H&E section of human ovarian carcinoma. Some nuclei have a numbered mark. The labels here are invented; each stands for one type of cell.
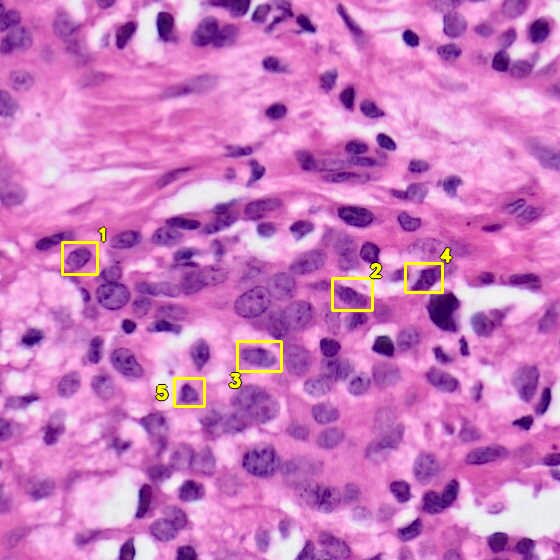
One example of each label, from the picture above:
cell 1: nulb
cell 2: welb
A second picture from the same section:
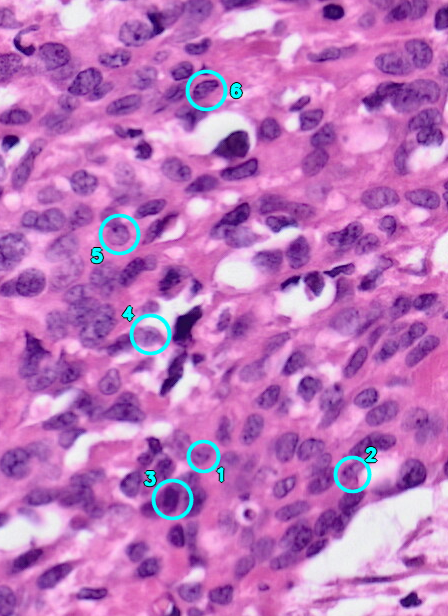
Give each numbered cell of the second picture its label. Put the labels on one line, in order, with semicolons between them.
welb; welb; welb; welb; nulb; nulb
